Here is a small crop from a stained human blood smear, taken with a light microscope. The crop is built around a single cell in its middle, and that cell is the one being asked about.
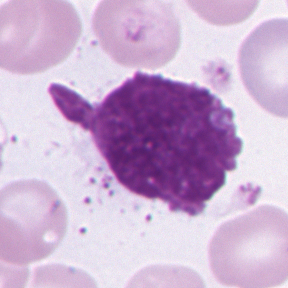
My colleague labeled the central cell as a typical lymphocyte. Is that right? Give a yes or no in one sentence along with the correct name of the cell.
No, the middle one is a smudge cell rather than a typical lymphocyte.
